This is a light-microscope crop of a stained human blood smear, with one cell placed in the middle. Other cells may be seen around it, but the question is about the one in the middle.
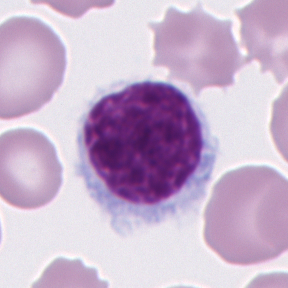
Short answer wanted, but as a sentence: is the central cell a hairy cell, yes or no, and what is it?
Yes, the central element of the crop is a hairy cell.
